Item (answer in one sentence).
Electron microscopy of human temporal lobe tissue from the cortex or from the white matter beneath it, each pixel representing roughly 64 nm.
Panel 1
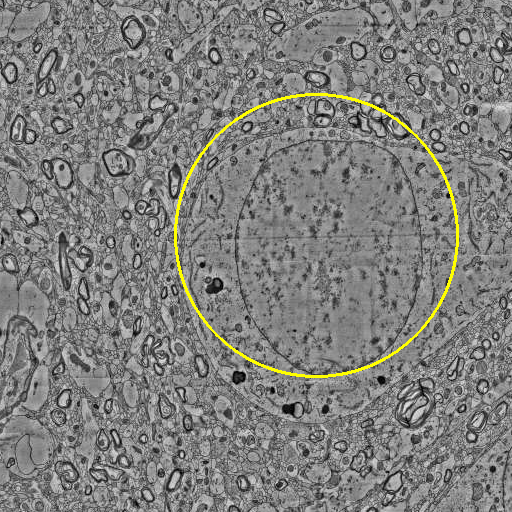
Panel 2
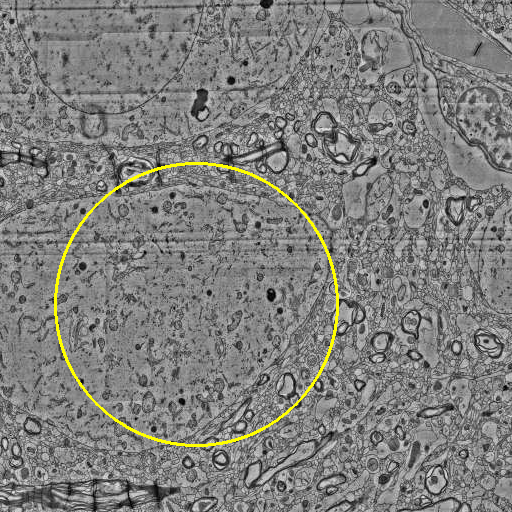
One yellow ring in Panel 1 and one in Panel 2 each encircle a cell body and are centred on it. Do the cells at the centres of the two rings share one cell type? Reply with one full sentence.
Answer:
Yes, Panel 1 and Panel 2 show cells of one type at the centres of their rings.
